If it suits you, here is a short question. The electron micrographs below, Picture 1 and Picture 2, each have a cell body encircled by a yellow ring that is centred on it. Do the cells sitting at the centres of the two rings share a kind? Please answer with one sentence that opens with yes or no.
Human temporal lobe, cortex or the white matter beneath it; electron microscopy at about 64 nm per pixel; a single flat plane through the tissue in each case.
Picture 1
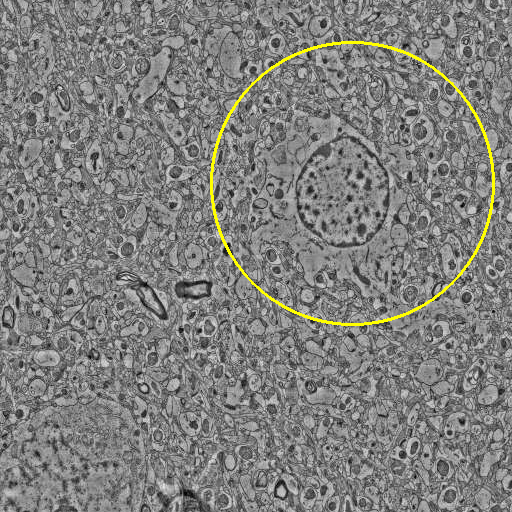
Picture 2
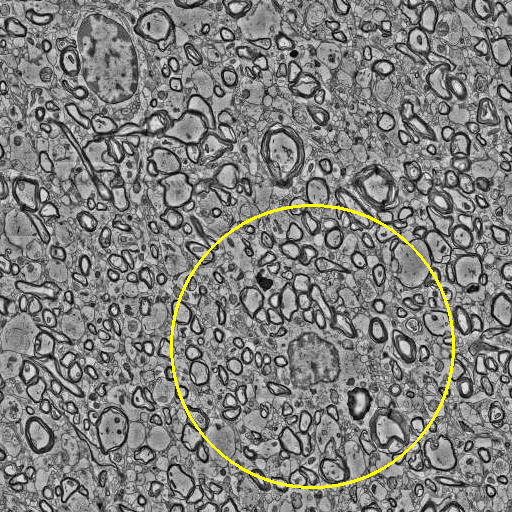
No, the two cells sitting at the ring centres fall into two kinds.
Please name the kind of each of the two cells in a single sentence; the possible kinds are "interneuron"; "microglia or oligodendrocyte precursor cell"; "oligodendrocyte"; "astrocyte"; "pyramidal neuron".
In the first picture the ring is centred on an astrocyte, and in the second on an oligodendrocyte.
